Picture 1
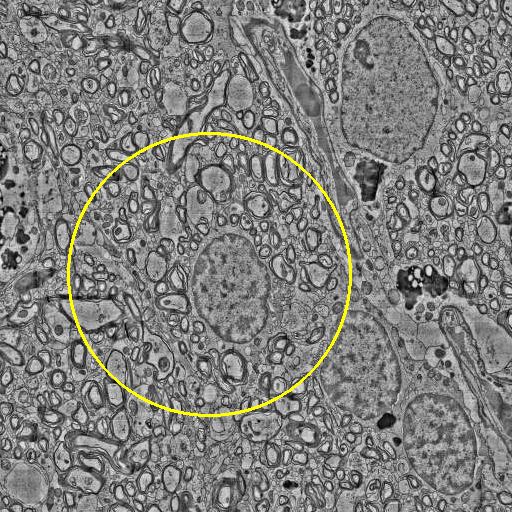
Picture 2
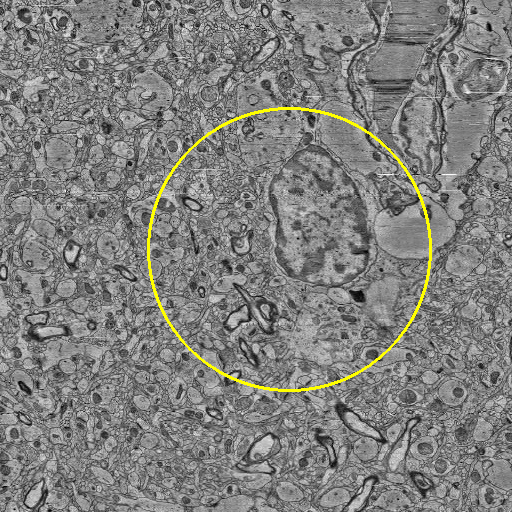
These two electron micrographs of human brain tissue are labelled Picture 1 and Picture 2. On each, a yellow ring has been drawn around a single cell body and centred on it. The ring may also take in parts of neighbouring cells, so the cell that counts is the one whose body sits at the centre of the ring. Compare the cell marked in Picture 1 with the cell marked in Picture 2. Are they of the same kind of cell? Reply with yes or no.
no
